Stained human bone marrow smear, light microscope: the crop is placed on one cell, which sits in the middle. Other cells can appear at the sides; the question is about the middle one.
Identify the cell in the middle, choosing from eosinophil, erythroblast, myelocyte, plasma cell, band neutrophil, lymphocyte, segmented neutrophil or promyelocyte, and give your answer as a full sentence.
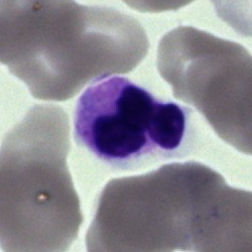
The middle of this crop is occupied by a segmented neutrophil.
